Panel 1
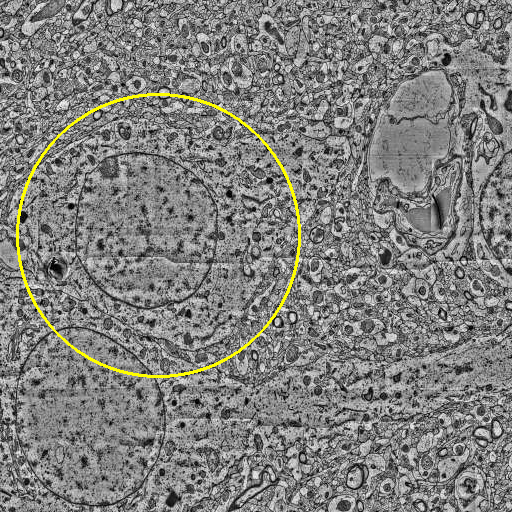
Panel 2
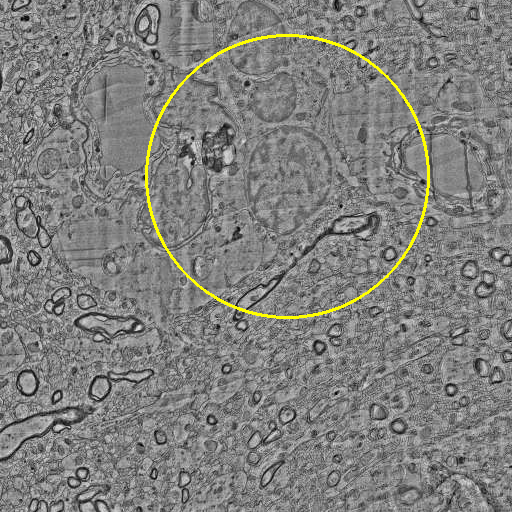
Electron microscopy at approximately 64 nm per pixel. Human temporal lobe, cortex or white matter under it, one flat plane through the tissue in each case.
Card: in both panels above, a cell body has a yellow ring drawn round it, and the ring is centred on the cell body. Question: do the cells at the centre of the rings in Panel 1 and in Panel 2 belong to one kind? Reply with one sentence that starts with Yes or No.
No, the cells centred in the rings of Panel 1 and Panel 2 are two kinds of cell.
